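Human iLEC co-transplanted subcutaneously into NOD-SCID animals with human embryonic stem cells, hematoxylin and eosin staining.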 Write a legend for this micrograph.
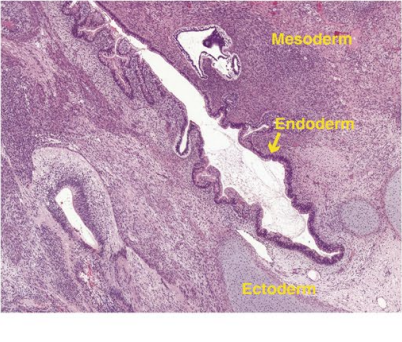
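A large, branching lumen runs across the middle, lined by a dark purple, folded epithelium, and smaller lumens lined by epithelium lie at the upper centre and lower left. Around them is a dense, pink-purple cellular stroma. At the lower right sit pale, rounded bluish-grey nodules of matrix, set apart from the surrounding tissue.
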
